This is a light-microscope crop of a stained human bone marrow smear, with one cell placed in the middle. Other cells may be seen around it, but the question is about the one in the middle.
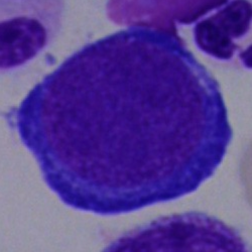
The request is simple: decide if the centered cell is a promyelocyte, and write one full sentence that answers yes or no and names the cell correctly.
No, that would be a proerythroblast, not a promyelocyte, for the cell at the centre.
